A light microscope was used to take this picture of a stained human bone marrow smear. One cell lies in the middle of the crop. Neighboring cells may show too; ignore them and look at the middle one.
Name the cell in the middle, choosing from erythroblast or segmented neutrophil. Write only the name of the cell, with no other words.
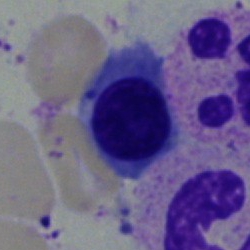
erythroblast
